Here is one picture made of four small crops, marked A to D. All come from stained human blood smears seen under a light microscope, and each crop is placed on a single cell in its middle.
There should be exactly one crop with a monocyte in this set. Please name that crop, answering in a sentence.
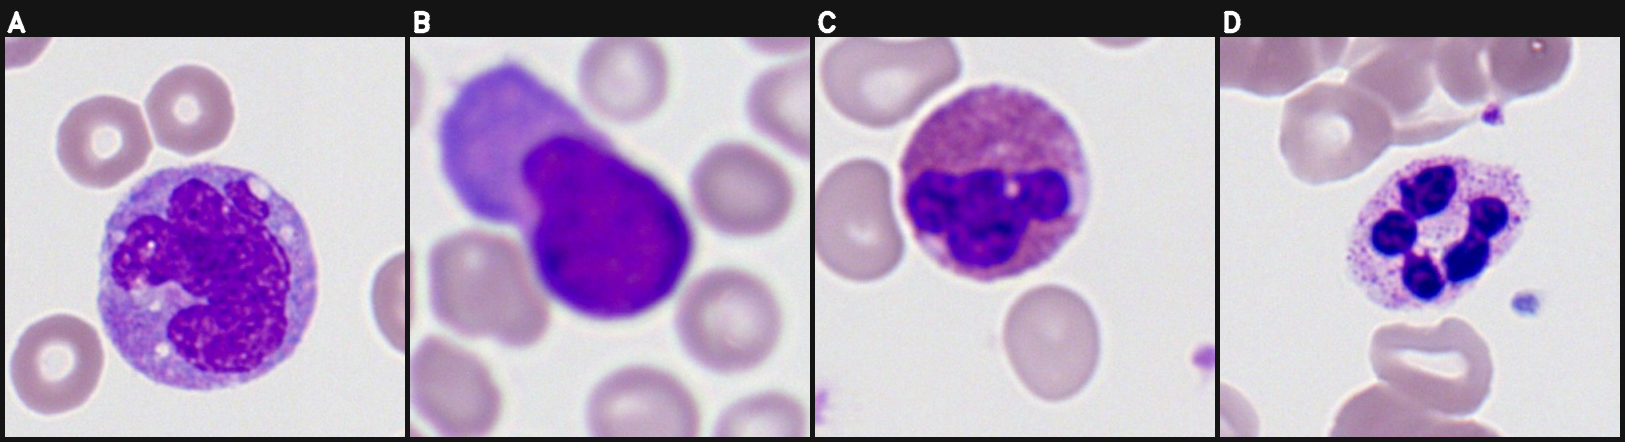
Among the crops, only crop A contains a monocyte.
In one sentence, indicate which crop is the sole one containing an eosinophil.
The crop marked C is the one in which an eosinophil is shown.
